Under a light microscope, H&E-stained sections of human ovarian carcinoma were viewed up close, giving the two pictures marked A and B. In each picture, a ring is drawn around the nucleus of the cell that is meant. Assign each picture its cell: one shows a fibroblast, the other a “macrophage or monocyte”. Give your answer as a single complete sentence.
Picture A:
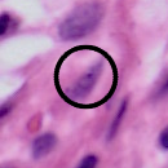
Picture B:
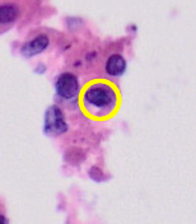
It is picture A that shows a fibroblast, and picture B that shows a “macrophage or monocyte”.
